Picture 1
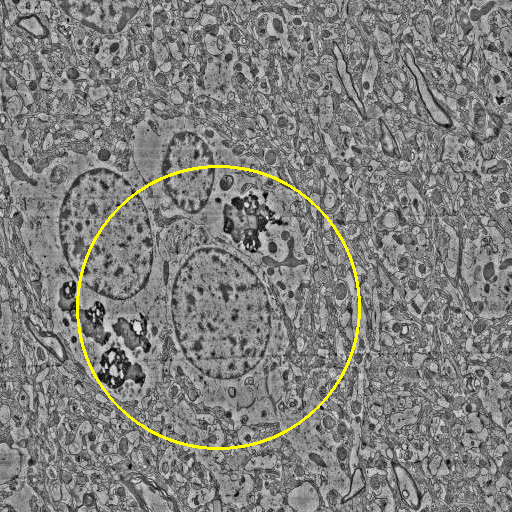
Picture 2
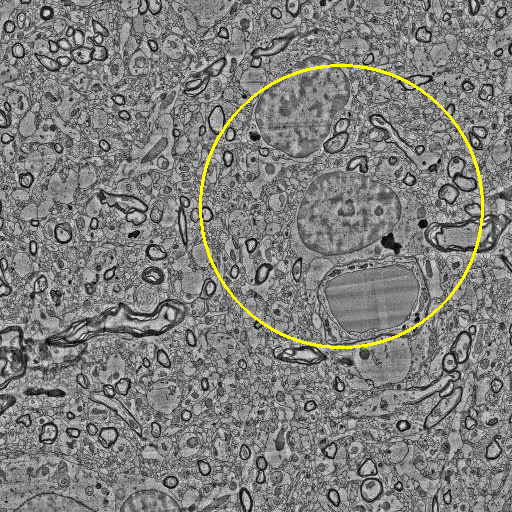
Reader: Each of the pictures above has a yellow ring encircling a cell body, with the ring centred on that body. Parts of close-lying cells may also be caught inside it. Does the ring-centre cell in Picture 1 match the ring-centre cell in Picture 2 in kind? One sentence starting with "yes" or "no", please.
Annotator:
No, Picture 1 and Picture 2 show ring-centre cells of two kinds.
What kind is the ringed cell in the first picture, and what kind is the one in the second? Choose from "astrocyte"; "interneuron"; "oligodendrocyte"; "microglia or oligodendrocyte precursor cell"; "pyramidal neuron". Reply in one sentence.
The first cell is an astrocyte; the second is an oligodendrocyte.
